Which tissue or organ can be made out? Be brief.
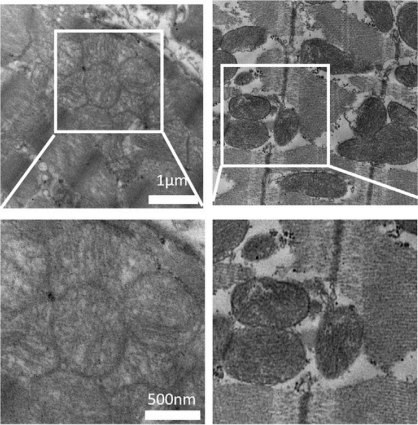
Myocardial tissues.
